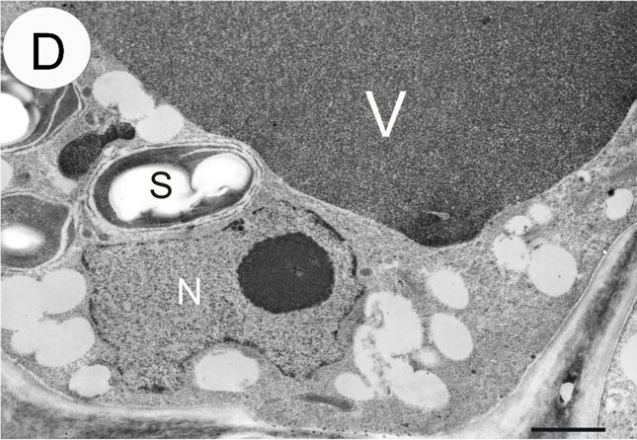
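The large vacuole occupies the upper right and is filled with evenly grey, finely granular material. To the left, an oval plastid bounded by membranes holds large pale starch grains. Numerous pale round inclusions are scattered through the cytoplasm. A cell wall runs along the lower right edge of the cell.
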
